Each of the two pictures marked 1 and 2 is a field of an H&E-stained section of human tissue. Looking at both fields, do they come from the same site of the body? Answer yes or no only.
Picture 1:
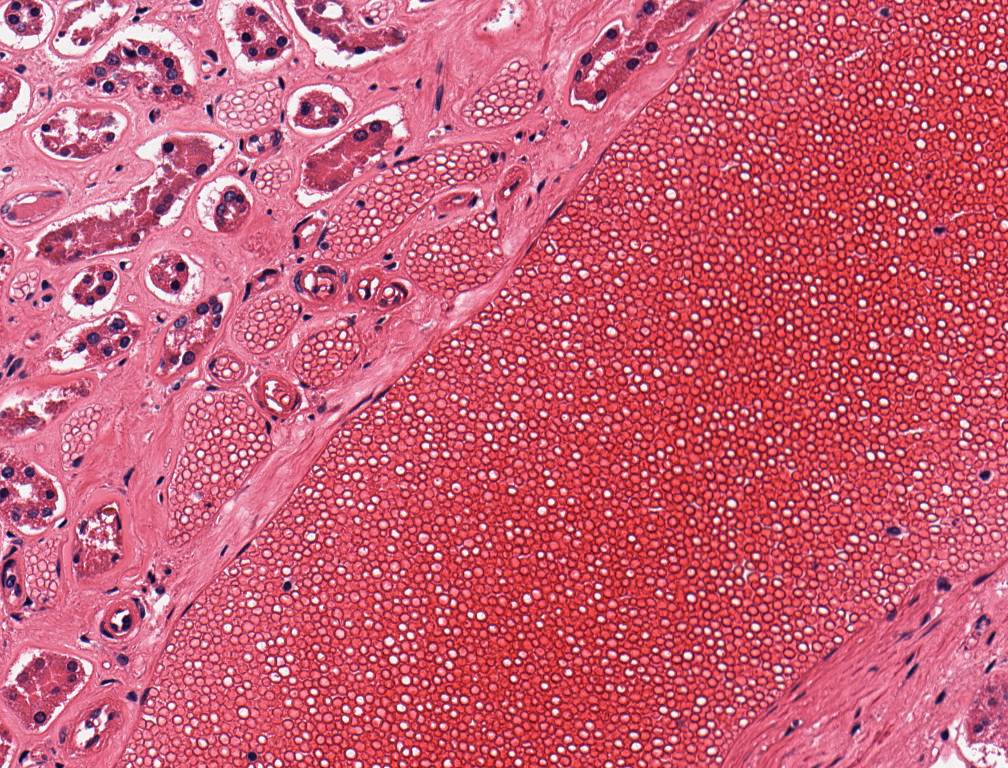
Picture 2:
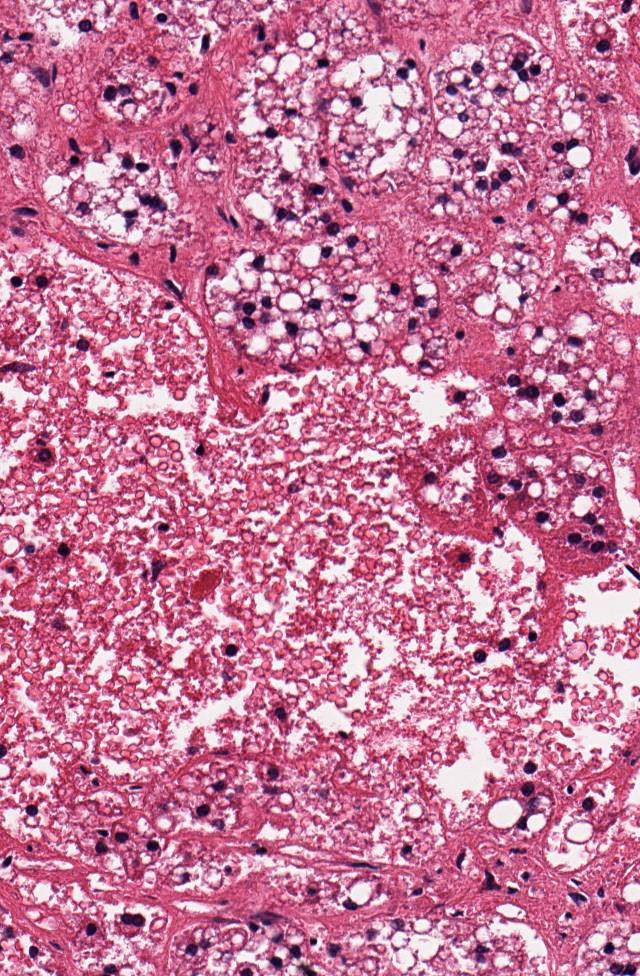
no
